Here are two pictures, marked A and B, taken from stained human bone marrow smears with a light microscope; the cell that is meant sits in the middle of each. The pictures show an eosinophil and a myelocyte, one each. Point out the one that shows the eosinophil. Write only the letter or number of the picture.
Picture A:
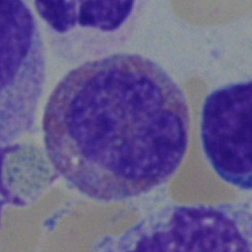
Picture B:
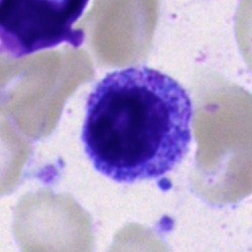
A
